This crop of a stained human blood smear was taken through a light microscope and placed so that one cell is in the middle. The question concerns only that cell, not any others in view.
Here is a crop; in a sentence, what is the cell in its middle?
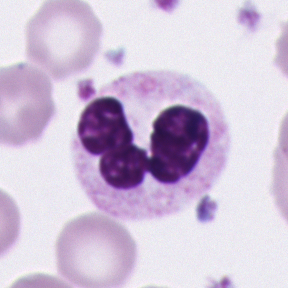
As for the central cell, it is a segmented neutrophil.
